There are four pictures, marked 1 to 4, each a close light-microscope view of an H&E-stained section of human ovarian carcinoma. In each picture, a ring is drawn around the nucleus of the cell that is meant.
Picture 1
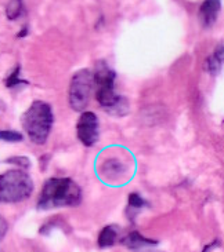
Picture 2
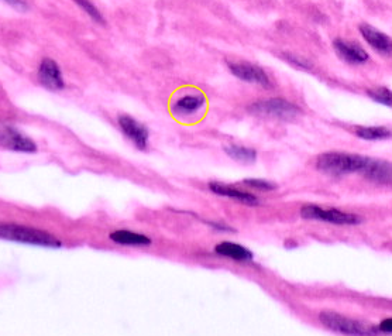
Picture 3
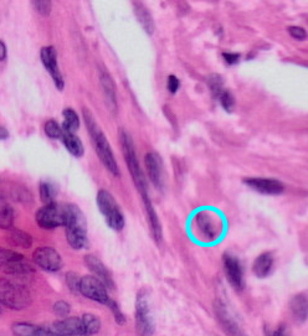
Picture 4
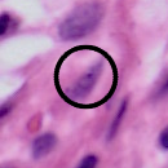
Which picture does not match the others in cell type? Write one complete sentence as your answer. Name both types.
Unlike the rest, which show fibroblasts, picture 1 shows a “macrophage or monocyte”.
